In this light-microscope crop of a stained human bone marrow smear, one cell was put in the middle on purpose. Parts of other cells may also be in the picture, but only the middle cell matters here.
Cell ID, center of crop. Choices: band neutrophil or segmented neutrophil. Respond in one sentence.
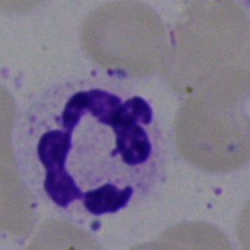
Where the crop is centred, there is a segmented neutrophil.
